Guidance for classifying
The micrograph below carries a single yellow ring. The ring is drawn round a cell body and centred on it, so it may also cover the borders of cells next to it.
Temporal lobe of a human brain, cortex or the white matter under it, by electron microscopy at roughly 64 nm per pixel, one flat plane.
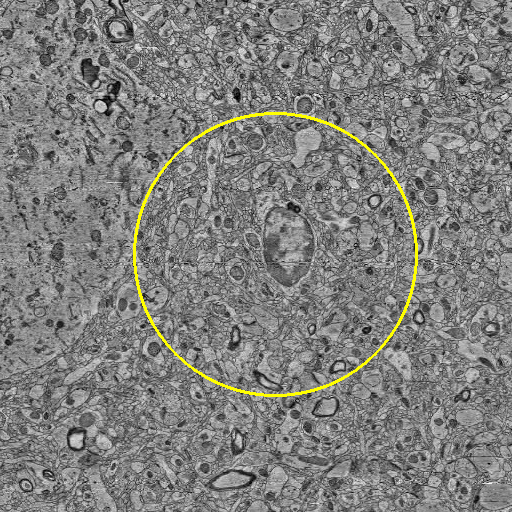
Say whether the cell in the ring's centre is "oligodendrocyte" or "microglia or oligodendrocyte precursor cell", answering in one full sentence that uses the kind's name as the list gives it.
Within the yellow ring, a microglial cell or oligodendrocyte precursor cell is the cell whose body sits at the centre.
